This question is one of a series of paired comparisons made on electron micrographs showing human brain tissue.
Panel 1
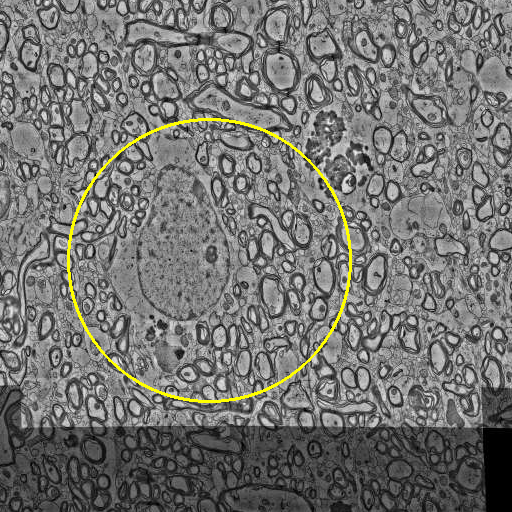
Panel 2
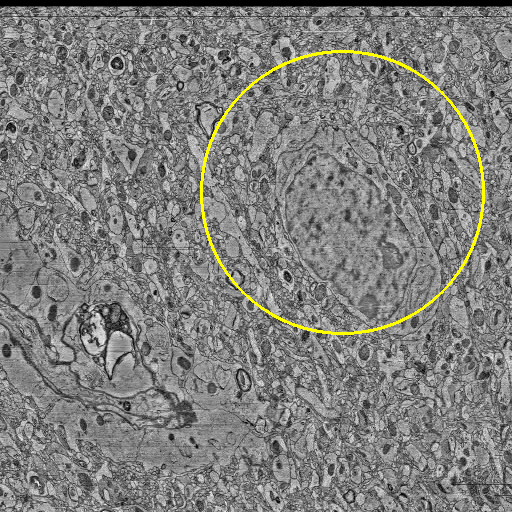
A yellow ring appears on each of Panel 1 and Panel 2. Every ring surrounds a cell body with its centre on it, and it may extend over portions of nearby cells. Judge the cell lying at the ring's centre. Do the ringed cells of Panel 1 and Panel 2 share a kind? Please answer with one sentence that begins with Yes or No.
No, the ring-centre cell in Panel 1 and the one in Panel 2 are of two kinds.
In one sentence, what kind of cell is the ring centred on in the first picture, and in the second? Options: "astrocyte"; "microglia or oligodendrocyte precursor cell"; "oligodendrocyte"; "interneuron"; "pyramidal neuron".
The cell at the centre of the second ring is an interneuron; the first ring's cell is an astrocyte.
